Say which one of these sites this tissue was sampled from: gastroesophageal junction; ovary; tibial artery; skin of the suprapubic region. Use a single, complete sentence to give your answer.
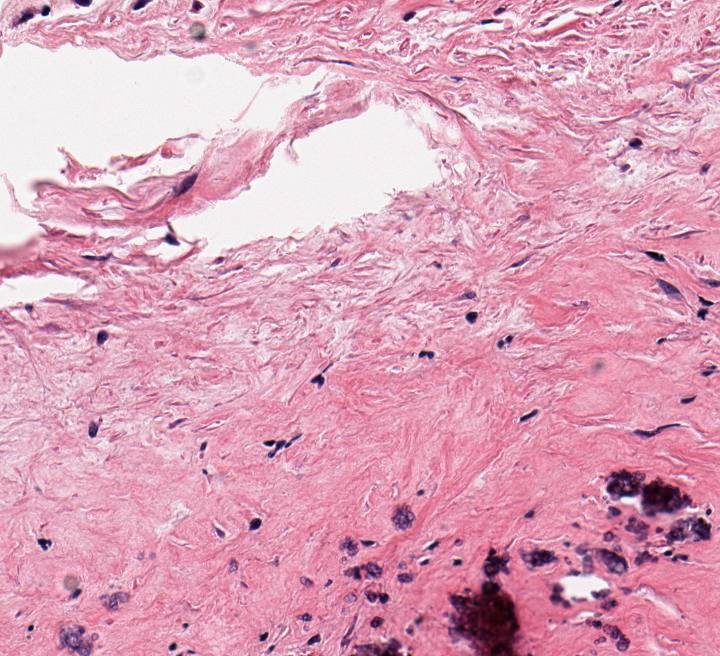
The section was prepared from tissue of the tibial artery.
